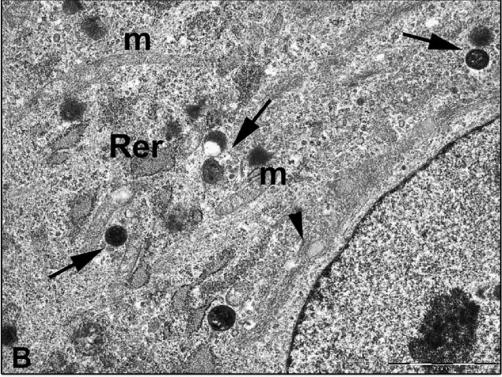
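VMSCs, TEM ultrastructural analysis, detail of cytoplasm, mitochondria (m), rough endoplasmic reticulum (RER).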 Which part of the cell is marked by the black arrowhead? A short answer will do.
Golgi complex.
